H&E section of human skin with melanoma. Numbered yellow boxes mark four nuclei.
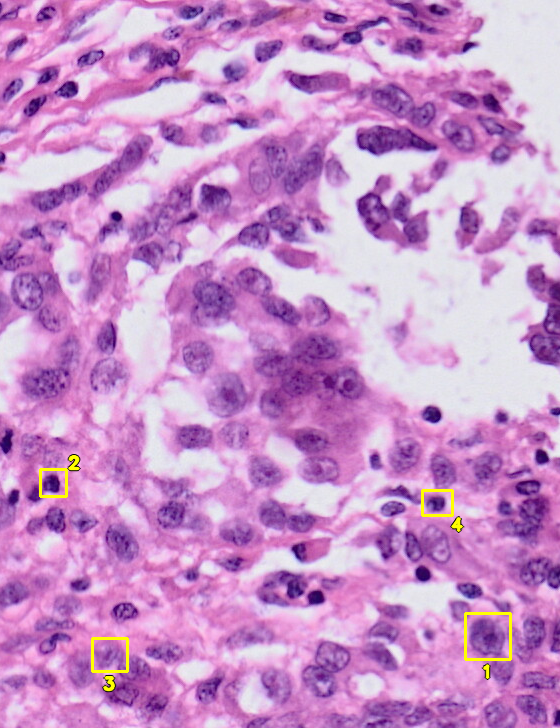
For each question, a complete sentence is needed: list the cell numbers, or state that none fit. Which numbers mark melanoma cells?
The cells tagged 1 and 3 are melanoma cells in this tissue section.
